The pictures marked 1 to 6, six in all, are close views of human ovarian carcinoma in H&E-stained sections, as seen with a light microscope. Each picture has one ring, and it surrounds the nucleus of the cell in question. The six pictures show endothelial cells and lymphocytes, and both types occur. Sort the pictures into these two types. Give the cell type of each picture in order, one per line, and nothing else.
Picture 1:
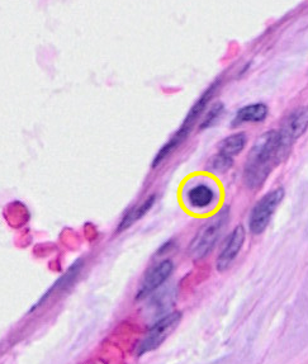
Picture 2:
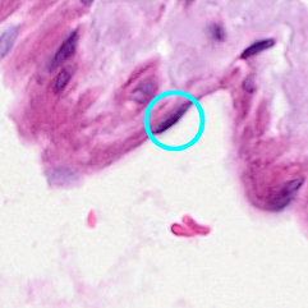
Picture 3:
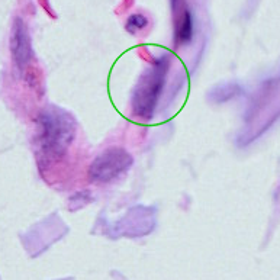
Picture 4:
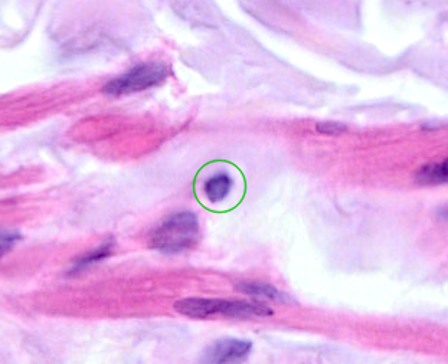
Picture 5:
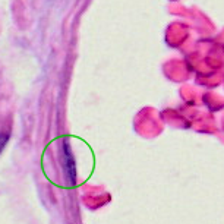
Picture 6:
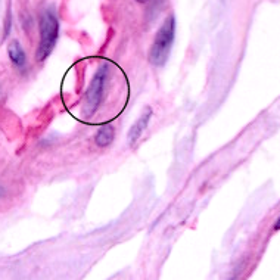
lymphocyte
endothelial cell
endothelial cell
lymphocyte
endothelial cell
endothelial cell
